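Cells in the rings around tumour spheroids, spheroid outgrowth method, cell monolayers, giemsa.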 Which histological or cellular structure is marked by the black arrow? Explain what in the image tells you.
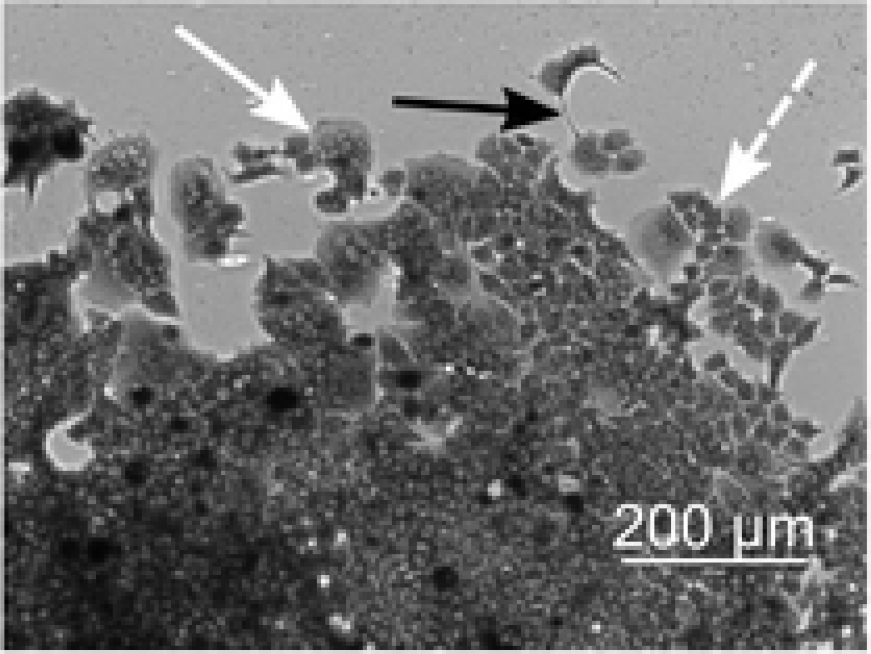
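Cytoplasmic bridges between cells. The black arrow points to a thin curved strand linking two cells across empty substrate.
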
